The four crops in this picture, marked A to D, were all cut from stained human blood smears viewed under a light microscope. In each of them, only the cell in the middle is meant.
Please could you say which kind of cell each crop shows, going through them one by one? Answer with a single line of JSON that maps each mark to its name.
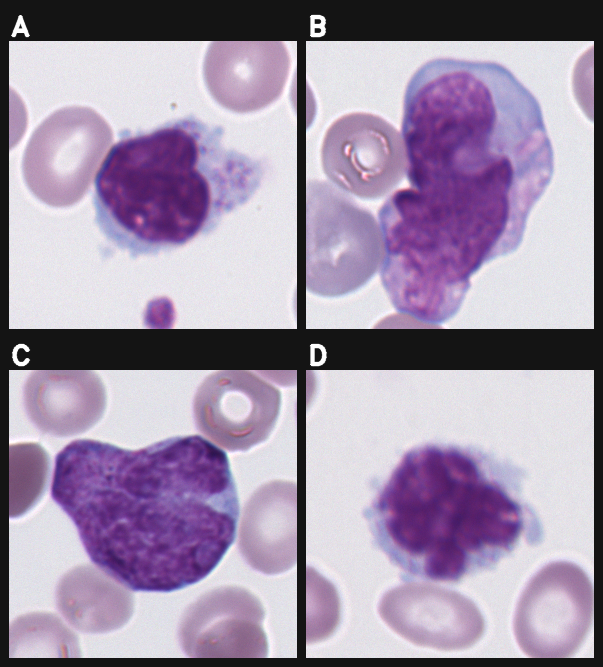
{"A": "large granular lymphocyte", "B": "atypical promyelocyte", "C": "atypical promyelocyte", "D": "large granular lymphocyte"}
